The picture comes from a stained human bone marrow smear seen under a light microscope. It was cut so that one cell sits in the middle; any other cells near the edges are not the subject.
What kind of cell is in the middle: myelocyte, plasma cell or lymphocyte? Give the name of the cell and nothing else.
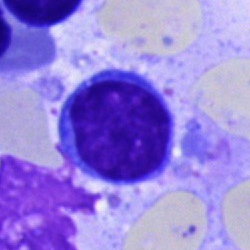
lymphocyte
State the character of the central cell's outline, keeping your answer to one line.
Its surface contour is regular and smooth, without any protrusions.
